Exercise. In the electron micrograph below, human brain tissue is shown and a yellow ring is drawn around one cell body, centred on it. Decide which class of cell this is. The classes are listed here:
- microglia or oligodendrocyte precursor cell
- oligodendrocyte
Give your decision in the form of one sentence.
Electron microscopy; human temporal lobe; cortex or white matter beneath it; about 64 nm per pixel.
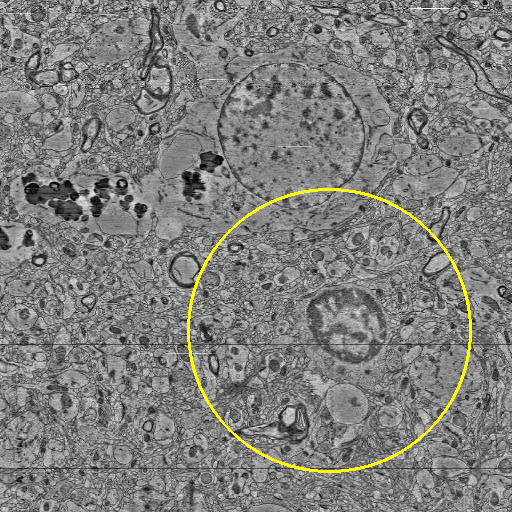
The cell body marked by the ring belongs to an oligodendrocyte.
